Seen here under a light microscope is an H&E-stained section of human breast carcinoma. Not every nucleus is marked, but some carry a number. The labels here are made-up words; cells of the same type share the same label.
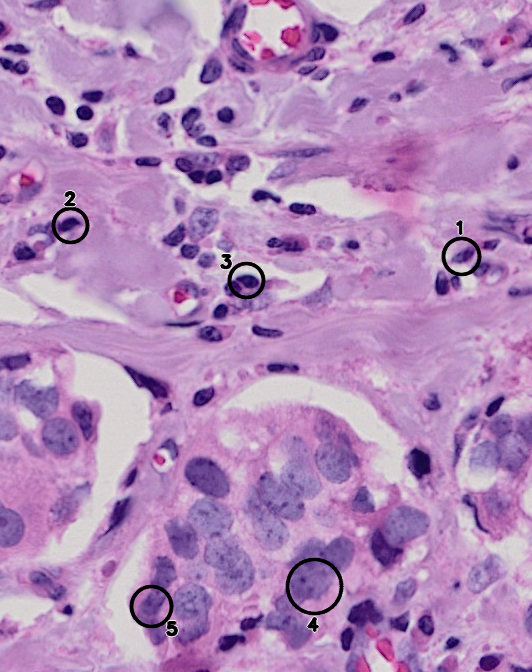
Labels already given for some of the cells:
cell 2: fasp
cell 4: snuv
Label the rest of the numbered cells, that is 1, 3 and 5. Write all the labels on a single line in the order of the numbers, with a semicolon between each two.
fasp; fasp; snuv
